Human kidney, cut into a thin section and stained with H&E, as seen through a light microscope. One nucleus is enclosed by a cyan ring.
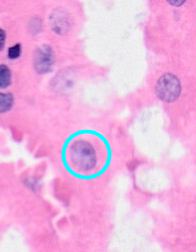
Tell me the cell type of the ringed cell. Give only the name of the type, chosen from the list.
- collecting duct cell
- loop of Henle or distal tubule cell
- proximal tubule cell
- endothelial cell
proximal tubule cell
